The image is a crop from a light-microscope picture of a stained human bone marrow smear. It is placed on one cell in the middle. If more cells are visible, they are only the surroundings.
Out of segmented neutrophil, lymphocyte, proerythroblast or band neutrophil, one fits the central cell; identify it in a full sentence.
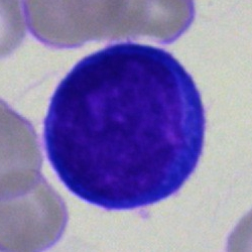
The cell at the centre of the field is a proerythroblast.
